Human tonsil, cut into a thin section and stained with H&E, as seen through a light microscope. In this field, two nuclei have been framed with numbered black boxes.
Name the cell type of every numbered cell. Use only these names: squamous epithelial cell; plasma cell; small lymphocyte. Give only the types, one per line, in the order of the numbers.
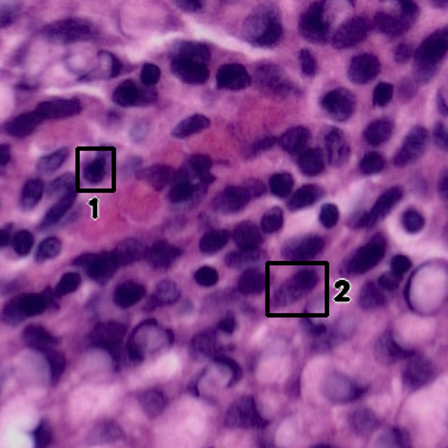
plasma cell
squamous epithelial cell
